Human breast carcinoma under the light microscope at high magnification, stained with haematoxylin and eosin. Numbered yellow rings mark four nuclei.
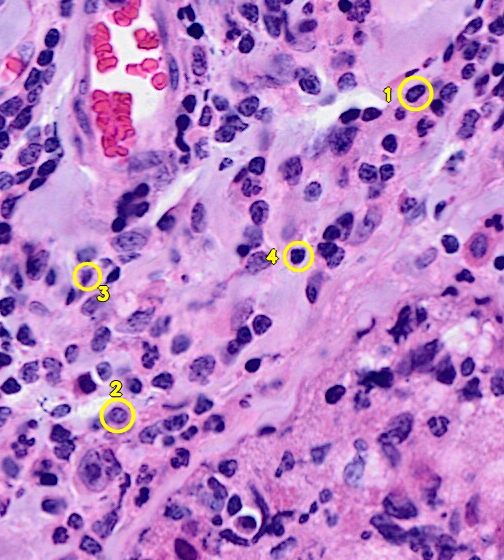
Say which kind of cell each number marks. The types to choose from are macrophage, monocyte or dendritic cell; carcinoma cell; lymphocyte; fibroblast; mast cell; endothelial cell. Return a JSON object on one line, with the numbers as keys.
{"1": "lymphocyte", "2": "macrophage, monocyte or dendritic cell", "3": "lymphocyte", "4": "lymphocyte"}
